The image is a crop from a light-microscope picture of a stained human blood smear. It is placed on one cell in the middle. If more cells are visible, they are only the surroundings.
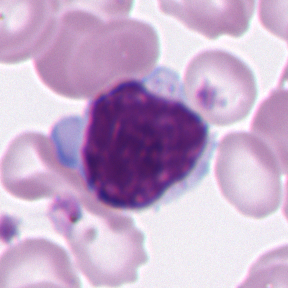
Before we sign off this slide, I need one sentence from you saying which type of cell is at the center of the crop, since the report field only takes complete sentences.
The cell in the middle of this crop is a typical lymphocyte.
